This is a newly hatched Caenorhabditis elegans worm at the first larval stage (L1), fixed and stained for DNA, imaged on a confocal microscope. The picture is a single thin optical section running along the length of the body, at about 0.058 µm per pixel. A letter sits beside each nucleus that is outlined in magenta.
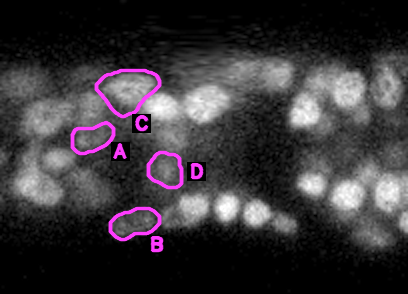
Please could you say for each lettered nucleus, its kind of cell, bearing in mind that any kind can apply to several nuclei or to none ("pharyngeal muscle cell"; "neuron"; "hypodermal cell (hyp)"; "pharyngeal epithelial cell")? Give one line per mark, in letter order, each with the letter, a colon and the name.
A: pharyngeal muscle cell
B: hypodermal cell (hyp)
C: neuron
D: neuron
